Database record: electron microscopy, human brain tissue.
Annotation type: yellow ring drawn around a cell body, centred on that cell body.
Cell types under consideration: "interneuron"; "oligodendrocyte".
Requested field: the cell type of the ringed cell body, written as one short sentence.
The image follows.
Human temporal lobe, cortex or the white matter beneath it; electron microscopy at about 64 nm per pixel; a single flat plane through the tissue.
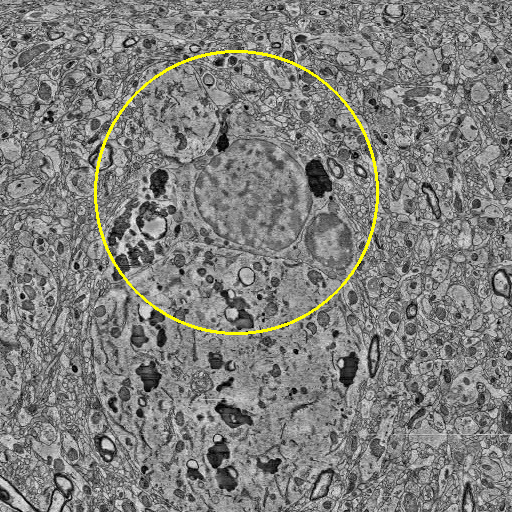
The ringed cell body represents an oligodendrocyte.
